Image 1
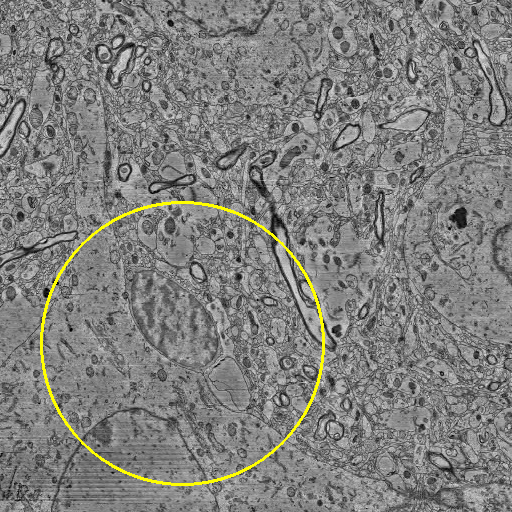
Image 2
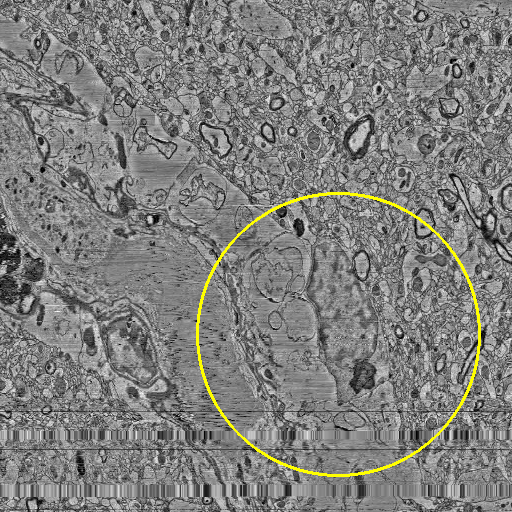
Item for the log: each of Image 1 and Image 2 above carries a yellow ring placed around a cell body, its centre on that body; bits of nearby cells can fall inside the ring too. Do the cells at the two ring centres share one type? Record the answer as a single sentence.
Yes, the two cells at the ring centres in Image 1 and Image 2 share one type.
